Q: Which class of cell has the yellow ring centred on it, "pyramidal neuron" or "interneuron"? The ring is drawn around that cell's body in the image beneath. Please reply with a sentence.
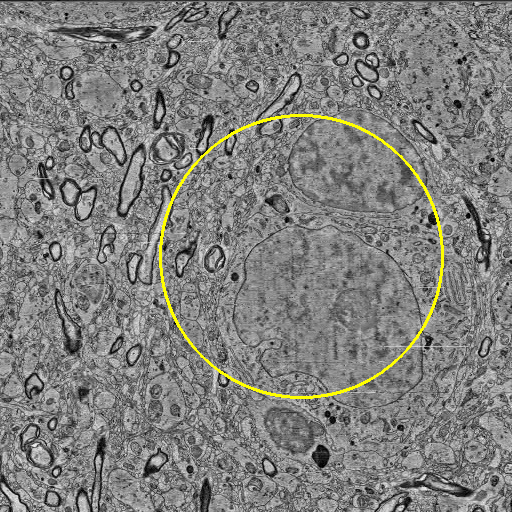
It is centred on an interneuron.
